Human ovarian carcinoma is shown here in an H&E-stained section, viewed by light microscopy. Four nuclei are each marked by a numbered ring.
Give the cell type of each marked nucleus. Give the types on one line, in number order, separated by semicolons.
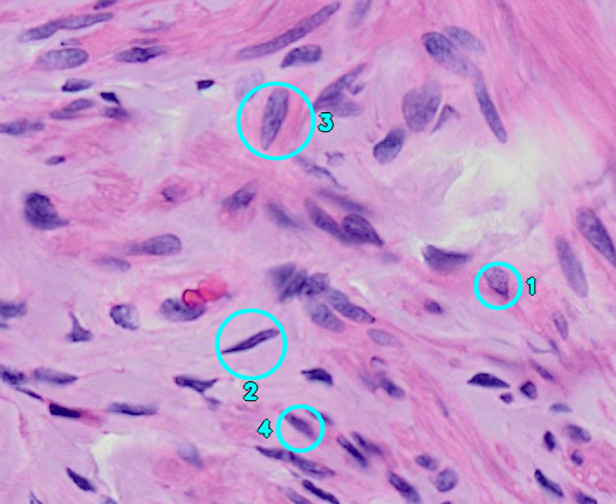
smooth muscle cell; fibroblast; smooth muscle cell; smooth muscle cell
